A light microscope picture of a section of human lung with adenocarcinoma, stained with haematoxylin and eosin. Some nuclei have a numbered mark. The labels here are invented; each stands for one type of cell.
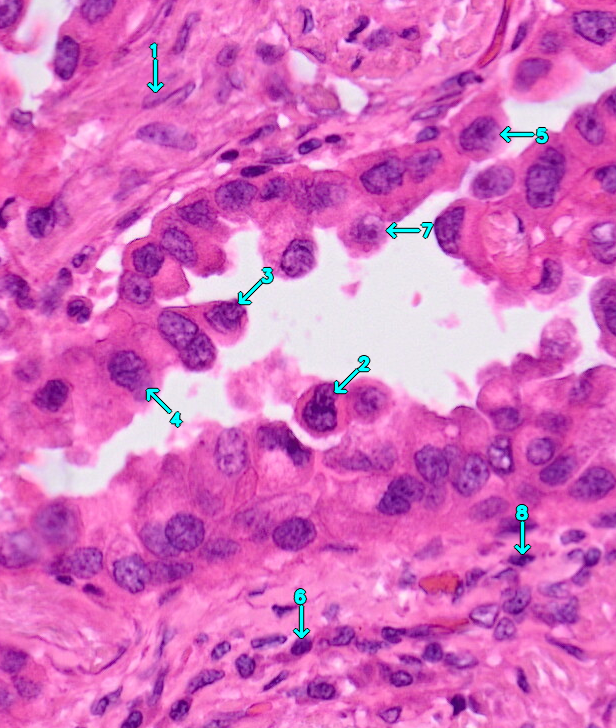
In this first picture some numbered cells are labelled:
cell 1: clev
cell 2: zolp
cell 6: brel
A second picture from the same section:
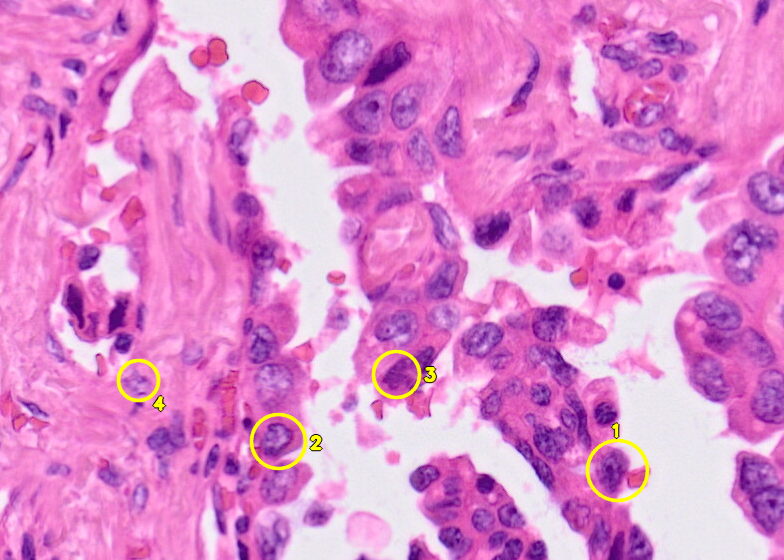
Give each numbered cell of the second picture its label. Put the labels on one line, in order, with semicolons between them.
zolp; zolp; zolp; clev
